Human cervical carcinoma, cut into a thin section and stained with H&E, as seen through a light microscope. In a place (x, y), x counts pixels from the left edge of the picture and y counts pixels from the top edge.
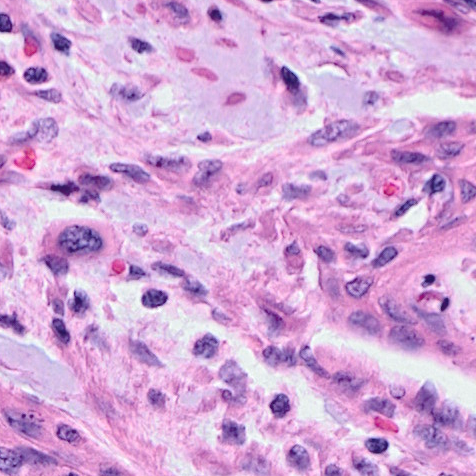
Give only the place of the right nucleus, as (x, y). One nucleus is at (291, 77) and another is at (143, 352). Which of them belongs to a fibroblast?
(143, 352)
